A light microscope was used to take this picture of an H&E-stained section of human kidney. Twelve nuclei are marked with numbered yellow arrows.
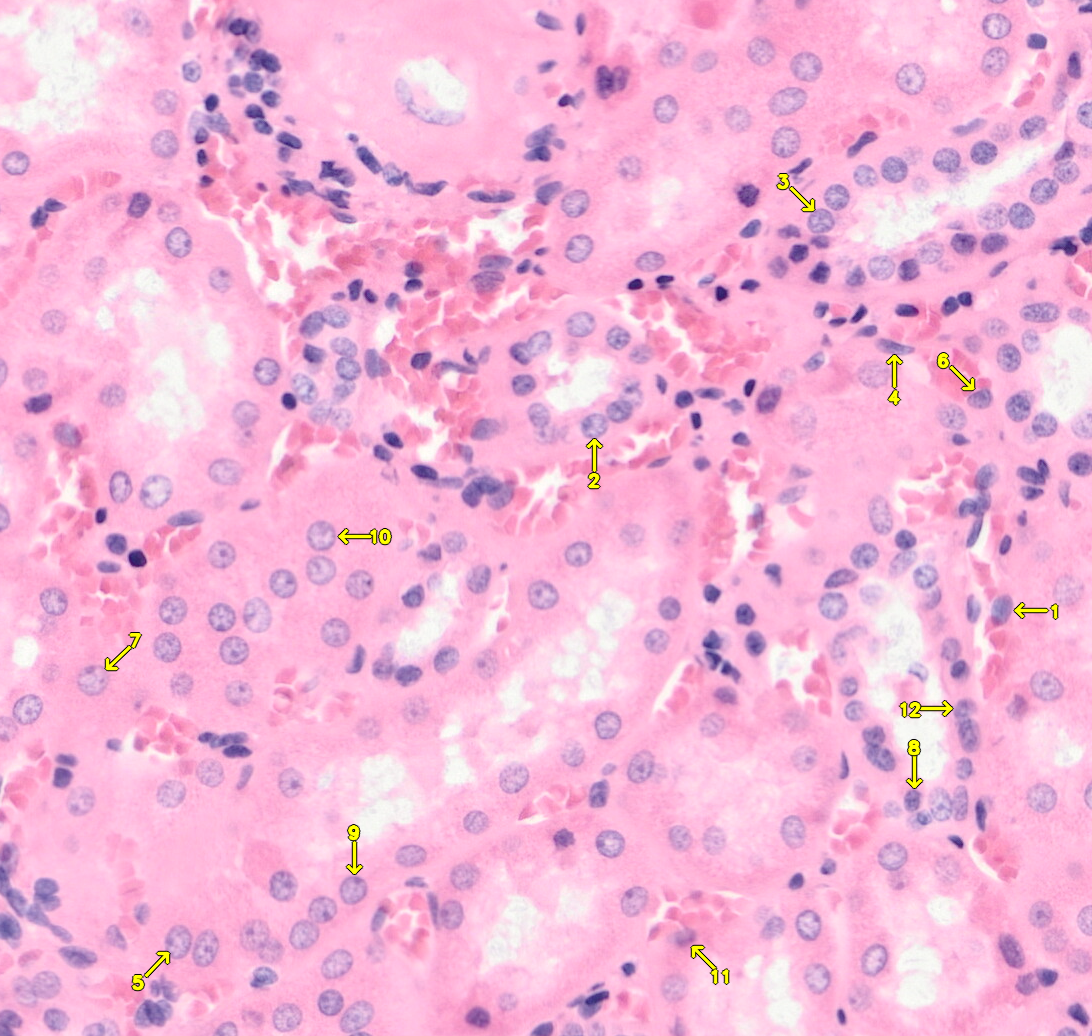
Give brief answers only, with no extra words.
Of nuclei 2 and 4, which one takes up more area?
2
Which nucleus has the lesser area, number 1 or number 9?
1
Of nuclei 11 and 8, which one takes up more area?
11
